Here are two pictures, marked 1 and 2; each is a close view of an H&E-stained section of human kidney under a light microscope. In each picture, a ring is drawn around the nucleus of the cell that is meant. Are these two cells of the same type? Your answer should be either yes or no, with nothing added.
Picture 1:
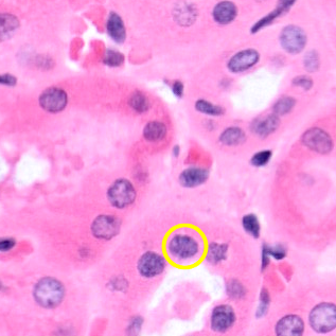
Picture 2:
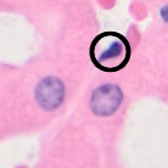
no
